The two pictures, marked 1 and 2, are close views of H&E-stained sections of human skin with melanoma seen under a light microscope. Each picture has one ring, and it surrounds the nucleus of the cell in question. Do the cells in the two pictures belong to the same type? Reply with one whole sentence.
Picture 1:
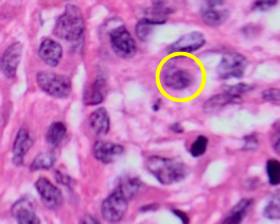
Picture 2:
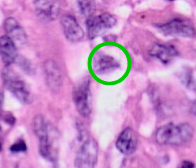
Yes, they are the same type: both are melanoma cells.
